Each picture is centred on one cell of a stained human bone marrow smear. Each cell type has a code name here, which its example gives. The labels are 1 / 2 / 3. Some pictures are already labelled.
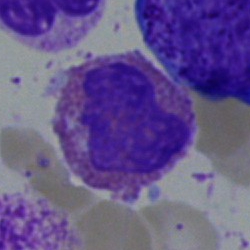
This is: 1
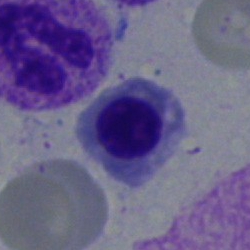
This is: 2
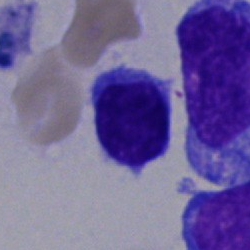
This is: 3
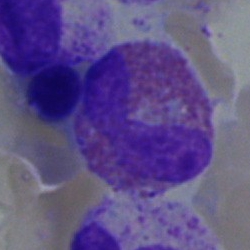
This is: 1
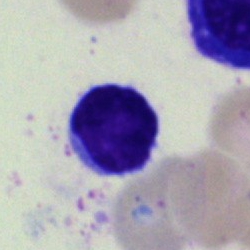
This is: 3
